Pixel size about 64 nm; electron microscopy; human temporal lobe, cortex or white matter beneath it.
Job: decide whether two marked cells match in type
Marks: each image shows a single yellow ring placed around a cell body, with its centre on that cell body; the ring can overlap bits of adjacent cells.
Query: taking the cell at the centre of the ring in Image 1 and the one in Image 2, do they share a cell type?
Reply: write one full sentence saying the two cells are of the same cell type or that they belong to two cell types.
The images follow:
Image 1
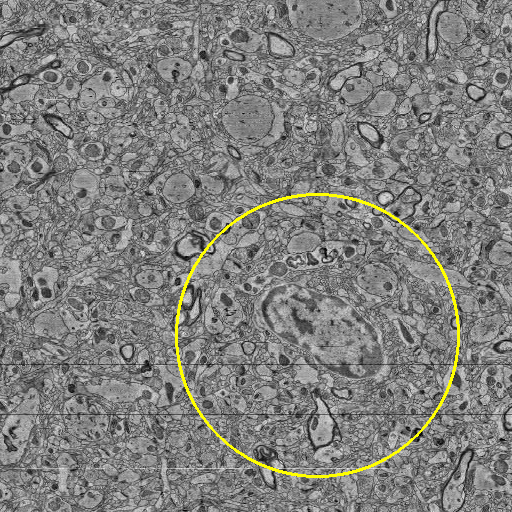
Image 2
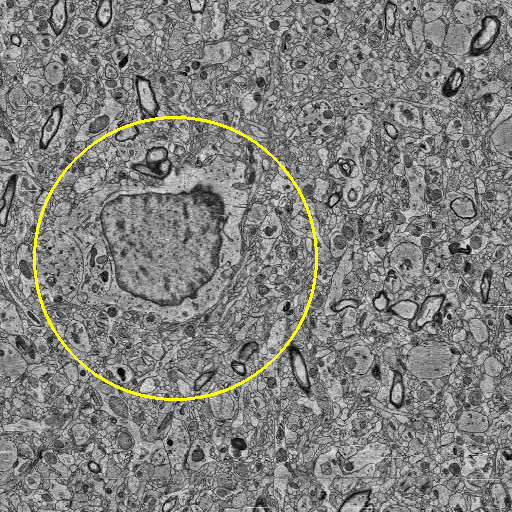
The cells at the ring centres in Image 1 and Image 2 are of the same cell type.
